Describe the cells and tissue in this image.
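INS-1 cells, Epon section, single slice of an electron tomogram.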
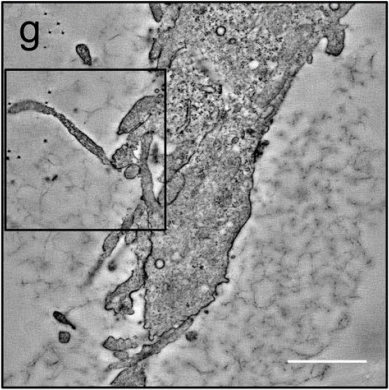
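The cell body runs diagonally across the field, its cytoplasm dense and filled with small vesicles and membrane profiles. From its free edge thin finger-like projections extend into the surrounding pale resin, some long and slender, others short and knob-like. A fine mesh-like pattern occupies the space beside the cell.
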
